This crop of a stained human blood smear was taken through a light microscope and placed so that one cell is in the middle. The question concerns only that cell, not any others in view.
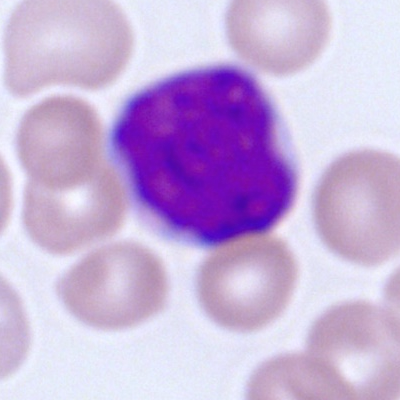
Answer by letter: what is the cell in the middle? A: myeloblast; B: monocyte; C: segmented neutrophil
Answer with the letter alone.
A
